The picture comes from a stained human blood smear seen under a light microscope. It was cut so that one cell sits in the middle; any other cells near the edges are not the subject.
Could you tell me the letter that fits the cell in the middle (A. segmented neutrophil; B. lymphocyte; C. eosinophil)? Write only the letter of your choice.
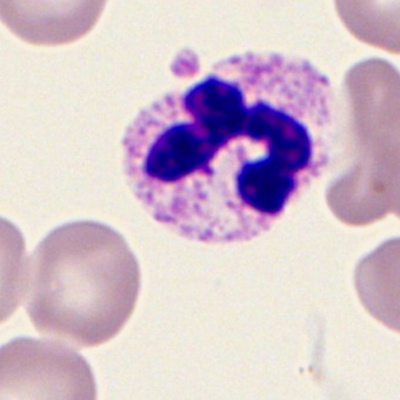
A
